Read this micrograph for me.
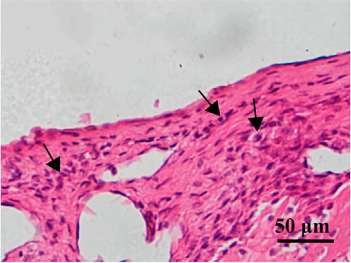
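A thin band of pink fibrous tissue runs along the empty space, its cells mostly elongated with spindle-shaped purple nuclei lying parallel to the surface. Below it the tissue is looser, with open clear spaces and strands of pink matrix between them. Black arrows point to a few cells with darker, rounder nuclei lying among the fibres. Overall the cells are less crowded than in a dense infiltrate, and the pink matrix between nuclei is clearly visible.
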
